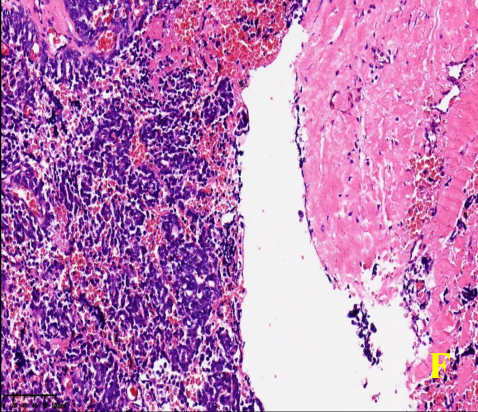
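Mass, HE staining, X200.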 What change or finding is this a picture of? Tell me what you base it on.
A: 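Bleeding. Many red blood cells lie scattered between the purple cells, outside any vessel. Patches of red blood cells also lie in the pink tissue on the right.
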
